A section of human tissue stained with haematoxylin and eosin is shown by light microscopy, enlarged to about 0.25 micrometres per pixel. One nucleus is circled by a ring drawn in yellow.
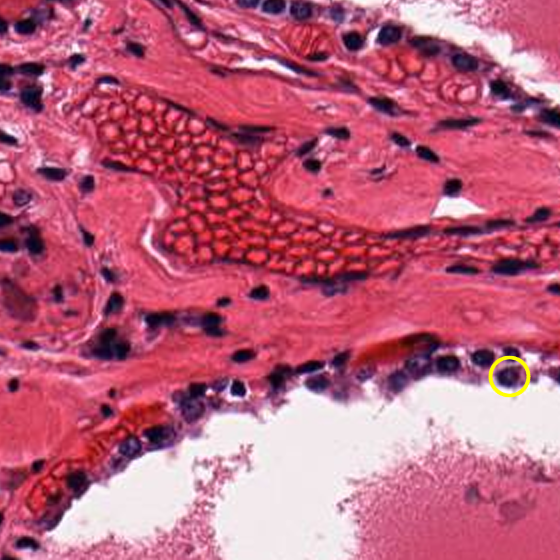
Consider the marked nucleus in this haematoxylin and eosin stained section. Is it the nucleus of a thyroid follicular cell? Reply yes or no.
yes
